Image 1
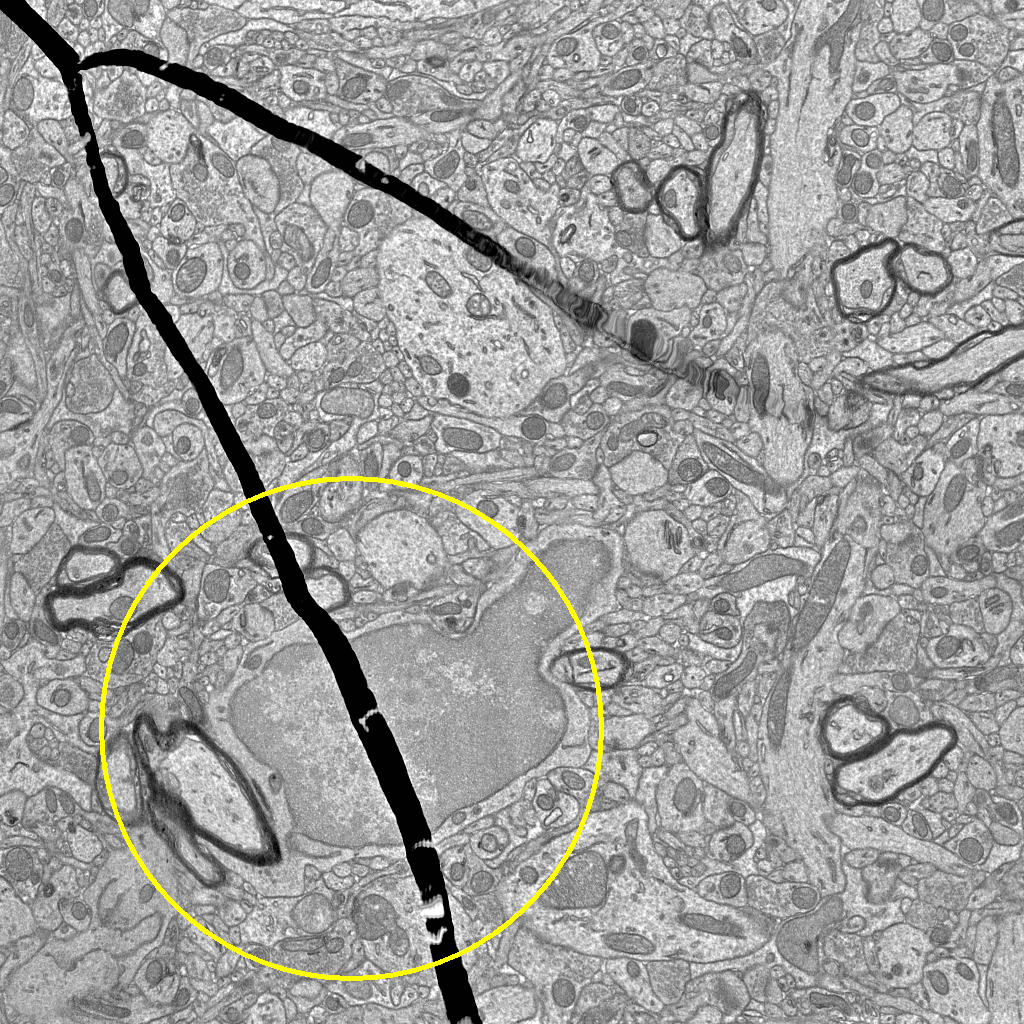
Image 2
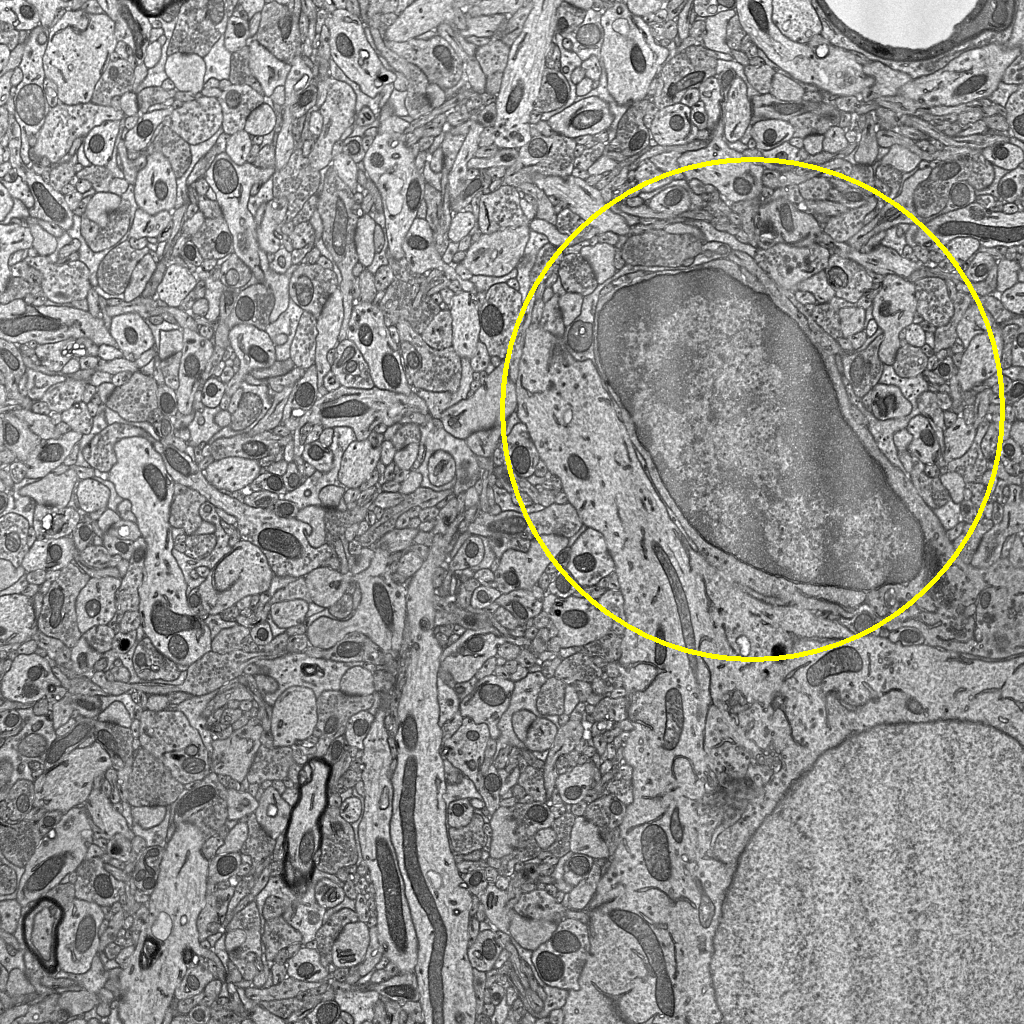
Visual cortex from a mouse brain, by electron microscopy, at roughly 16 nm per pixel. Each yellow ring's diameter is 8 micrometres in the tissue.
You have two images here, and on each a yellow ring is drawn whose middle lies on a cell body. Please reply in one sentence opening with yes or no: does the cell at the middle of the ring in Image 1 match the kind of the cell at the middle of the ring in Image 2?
Yes, the two images show cells of one kind at the centres of their rings.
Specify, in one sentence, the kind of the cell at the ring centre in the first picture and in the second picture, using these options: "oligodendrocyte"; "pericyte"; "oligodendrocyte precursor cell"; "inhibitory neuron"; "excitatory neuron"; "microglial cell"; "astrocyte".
The first and the second cell are each a microglial cell.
